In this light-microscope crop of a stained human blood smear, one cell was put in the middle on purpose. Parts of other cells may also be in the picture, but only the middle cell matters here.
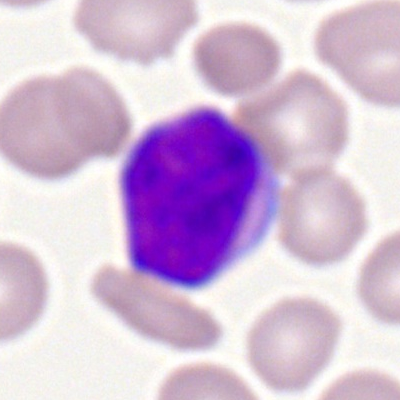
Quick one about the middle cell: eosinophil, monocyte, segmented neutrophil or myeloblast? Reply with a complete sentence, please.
Positioned in the middle of the crop is a myeloblast.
